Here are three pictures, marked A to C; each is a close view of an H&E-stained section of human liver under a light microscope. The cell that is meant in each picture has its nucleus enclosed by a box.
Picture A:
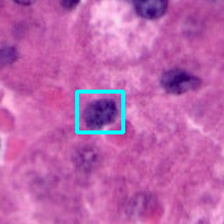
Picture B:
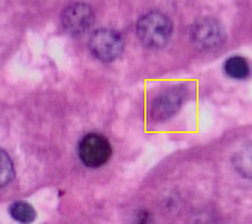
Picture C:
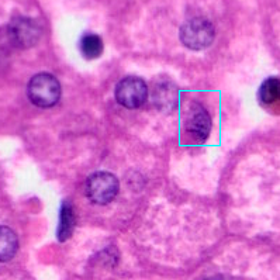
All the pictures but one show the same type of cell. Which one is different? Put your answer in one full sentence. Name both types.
Picture A differs, because its cell is a “fibroblast or stellate cell” and the rest are Kupffer cells.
